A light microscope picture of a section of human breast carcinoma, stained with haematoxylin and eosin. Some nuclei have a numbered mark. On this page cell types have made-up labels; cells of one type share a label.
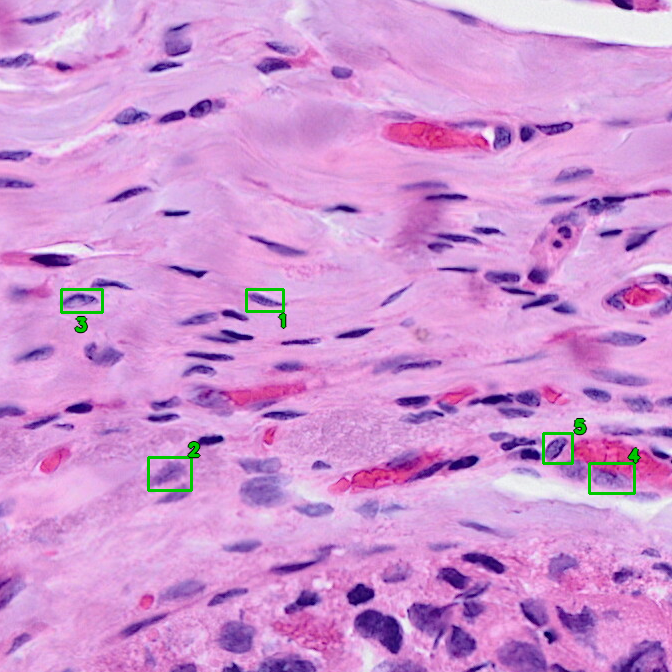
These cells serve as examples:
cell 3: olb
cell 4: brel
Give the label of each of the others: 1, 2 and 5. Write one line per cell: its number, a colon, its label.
1: olb
2: olb
5: brel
